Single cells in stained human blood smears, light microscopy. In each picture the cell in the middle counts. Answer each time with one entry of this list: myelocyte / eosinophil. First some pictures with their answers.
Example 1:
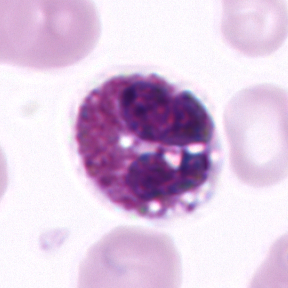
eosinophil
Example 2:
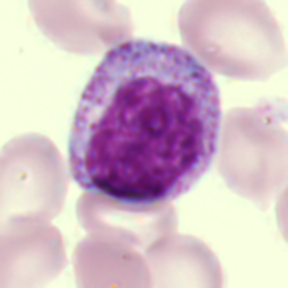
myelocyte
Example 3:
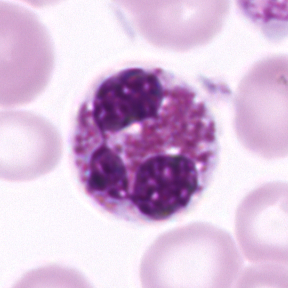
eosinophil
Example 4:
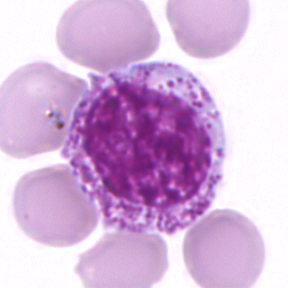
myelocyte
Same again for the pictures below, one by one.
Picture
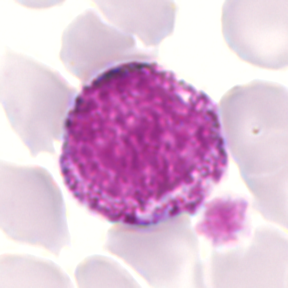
myelocyte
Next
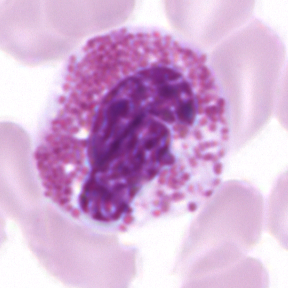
eosinophil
